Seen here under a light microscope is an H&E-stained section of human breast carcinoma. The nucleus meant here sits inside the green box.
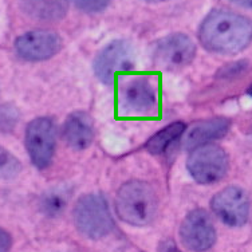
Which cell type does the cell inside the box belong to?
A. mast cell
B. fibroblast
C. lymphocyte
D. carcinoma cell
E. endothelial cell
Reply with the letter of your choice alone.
D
